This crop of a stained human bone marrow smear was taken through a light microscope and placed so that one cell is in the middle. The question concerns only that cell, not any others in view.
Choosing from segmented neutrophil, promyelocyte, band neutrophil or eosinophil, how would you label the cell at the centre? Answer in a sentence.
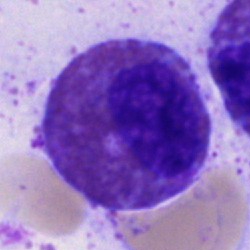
The cell centered in this field of view is an eosinophil.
